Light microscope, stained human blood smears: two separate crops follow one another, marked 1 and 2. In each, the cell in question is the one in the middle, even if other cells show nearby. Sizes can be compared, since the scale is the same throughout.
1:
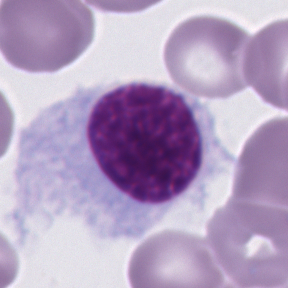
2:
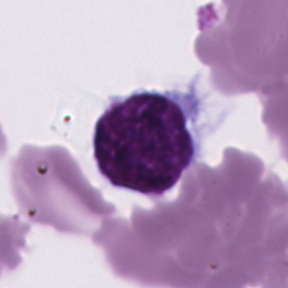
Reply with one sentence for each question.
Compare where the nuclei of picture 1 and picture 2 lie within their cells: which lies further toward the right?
In picture 1 the nucleus is shifted more toward the right.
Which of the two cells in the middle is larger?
Picture 1 holds the larger cell; it covers about 2.5 times the area of the cell in picture 2.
